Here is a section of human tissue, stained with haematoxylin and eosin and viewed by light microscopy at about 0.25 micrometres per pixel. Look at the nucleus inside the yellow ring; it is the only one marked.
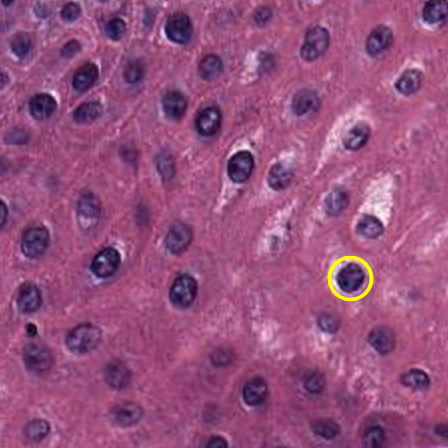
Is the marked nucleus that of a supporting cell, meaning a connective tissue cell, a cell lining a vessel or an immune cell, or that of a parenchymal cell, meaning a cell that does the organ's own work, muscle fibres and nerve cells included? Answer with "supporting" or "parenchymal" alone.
parenchymal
